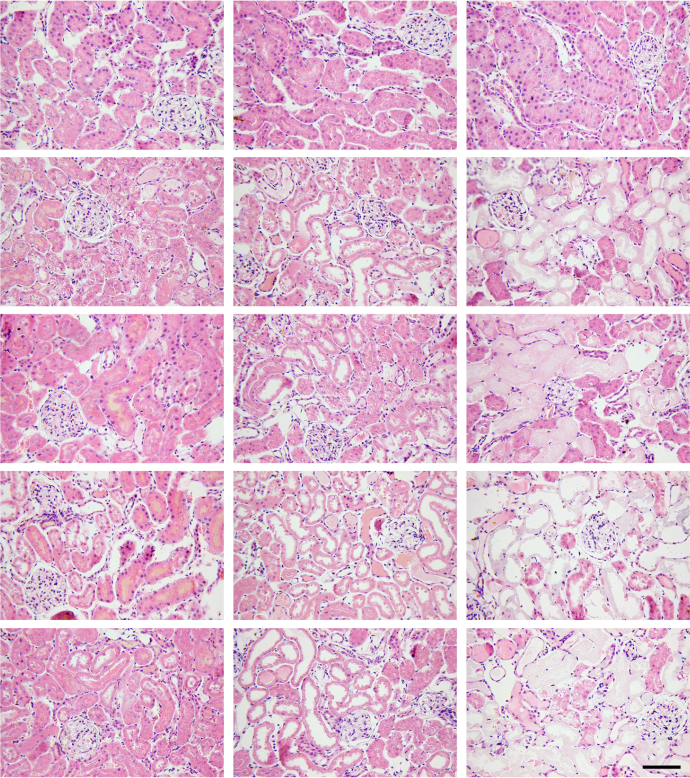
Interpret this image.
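This is a grid of images of renal cortex, with glomeruli as round purple-dotted tufts sitting among many cut renal tubules lined by pink epithelial cells. In some images the tubules are compact, with plump pink cells and small lumens. In others the tubules are widened with thin pale linings, and the lumens hold homogeneous pink protein casts or loose debris, while the pale, washed-out areas show a broken-down tissue structure.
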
